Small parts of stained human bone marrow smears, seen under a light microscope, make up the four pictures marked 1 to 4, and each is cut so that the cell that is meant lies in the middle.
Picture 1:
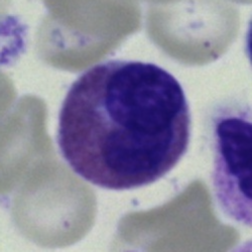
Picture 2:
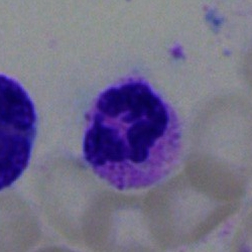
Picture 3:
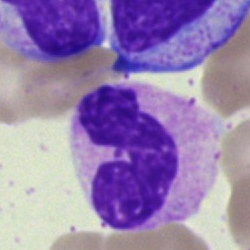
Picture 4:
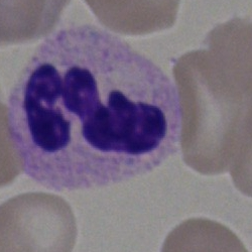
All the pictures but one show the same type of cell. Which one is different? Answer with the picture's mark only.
1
